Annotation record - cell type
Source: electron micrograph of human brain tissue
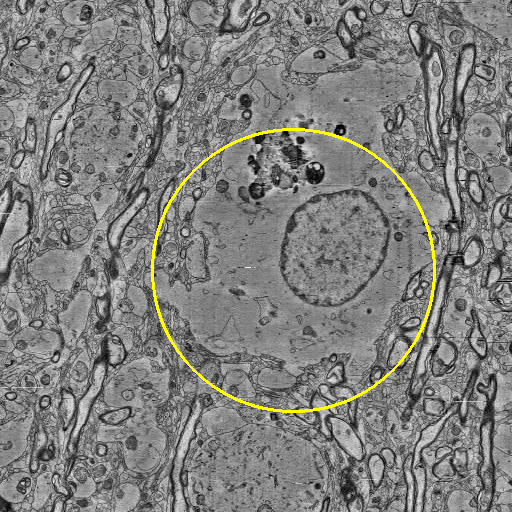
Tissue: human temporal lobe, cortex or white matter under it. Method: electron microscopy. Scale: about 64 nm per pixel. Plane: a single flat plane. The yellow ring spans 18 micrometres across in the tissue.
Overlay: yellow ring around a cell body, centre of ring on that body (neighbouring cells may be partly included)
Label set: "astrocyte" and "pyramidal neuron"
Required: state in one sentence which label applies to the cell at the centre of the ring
This cell should be labelled as an astrocyte.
